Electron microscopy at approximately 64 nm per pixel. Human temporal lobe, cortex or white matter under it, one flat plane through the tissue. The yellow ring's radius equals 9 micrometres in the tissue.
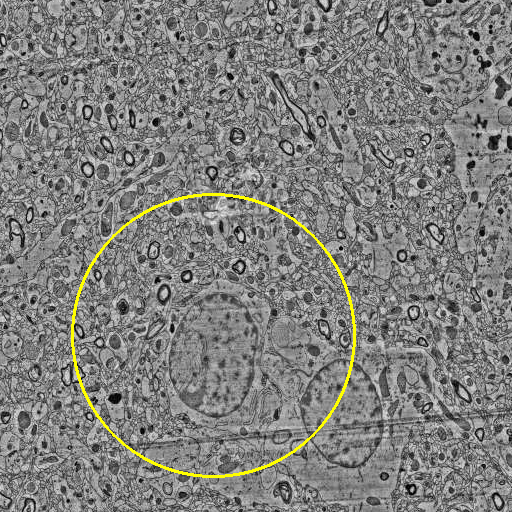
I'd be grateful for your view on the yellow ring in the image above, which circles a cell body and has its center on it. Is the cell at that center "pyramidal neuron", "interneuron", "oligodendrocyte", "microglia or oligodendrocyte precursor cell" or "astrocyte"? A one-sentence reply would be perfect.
The cell at the center of the yellow ring is an astrocyte.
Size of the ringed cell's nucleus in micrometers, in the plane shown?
About 8 micrometres by about 6 micrometres in this plane.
